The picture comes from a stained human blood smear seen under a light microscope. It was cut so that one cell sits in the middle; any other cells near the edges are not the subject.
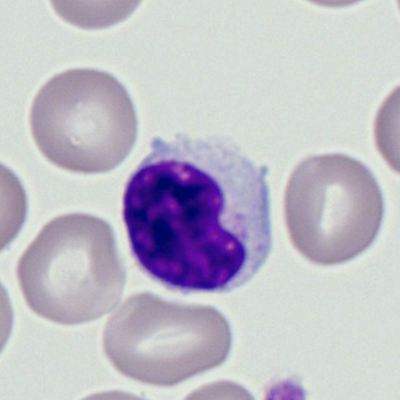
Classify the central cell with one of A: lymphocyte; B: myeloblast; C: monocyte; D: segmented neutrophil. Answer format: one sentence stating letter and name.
Option A is the right one, for the cell in the middle is a lymphocyte.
